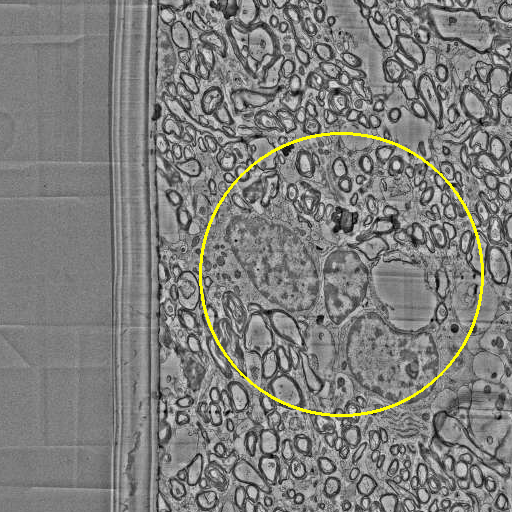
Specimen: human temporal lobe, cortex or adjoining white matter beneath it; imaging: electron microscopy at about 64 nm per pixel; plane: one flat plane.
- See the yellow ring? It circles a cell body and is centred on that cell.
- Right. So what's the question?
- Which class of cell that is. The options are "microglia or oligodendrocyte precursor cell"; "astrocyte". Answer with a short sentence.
The centre of the ring holds a microglial cell or oligodendrocyte precursor cell.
